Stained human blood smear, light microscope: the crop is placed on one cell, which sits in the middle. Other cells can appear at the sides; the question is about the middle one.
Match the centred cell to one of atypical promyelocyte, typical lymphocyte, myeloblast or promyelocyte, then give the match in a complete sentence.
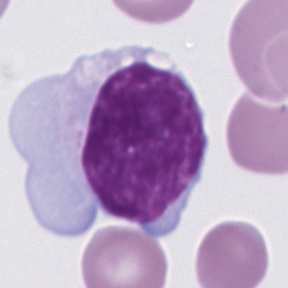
The centrally placed cell is classified as a myeloblast.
